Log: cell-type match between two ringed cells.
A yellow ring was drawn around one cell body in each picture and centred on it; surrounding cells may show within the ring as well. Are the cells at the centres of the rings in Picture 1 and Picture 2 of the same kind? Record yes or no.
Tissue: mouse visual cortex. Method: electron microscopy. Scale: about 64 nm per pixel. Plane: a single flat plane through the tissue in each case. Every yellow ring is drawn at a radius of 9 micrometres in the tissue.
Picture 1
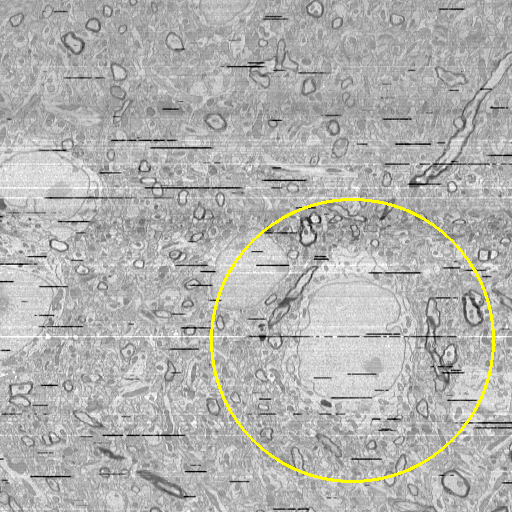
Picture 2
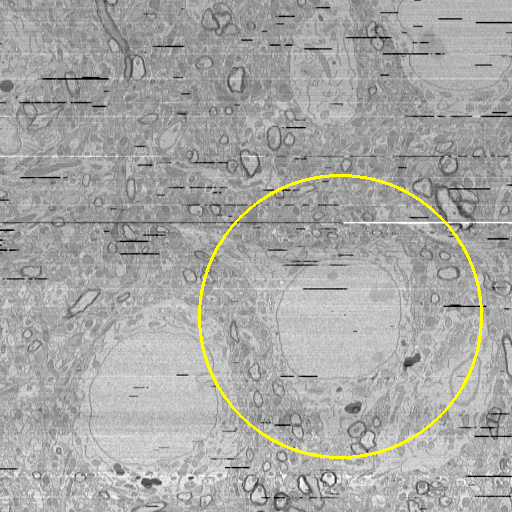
yes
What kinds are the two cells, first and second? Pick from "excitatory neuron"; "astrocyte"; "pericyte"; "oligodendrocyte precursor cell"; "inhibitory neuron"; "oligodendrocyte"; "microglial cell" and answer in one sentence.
Both pictures show an excitatory neuron at the centre of the ring.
